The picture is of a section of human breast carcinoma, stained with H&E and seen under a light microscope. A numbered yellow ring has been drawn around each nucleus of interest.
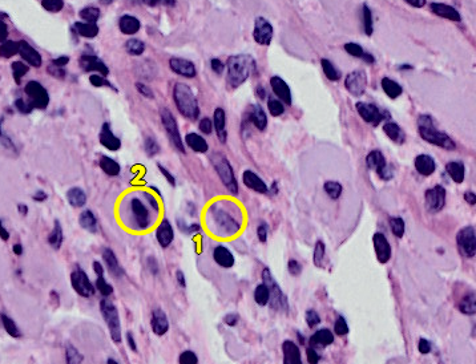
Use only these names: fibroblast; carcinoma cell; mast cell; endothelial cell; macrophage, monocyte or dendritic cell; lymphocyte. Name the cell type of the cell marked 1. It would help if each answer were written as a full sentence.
The correct label for cell 1 is an endothelial cell.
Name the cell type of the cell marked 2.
The nucleus labeled 2 belongs to a lymphocyte.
